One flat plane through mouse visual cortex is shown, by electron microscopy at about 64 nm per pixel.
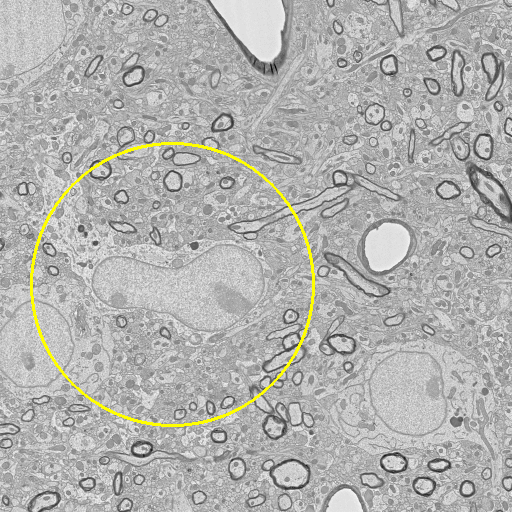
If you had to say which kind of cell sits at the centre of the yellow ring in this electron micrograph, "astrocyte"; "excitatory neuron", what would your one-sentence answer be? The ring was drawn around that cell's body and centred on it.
The cell sitting at the centre of the ring is an astrocyte.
